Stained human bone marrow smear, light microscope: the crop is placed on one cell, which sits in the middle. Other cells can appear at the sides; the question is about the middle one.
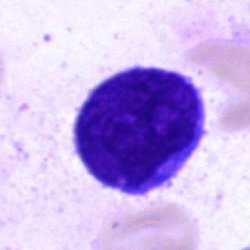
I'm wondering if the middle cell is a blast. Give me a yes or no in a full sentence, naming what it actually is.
Yes, shown in the middle of the crop is a blast.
